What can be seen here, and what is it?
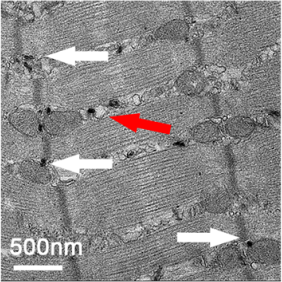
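A longitudinal electron micrograph of skeletal muscle fiber shows parallel myofibrils with fine longitudinal filaments and repeating sarcomeres crossed by dark transverse Z-lines. Between neighbouring myofibrils run narrow spaces holding small membrane-bound profiles of the sarcoplasmic reticulum. Oval mitochondria with internal cristae lie in these spaces close to the Z-lines, often in pairs on either side of them. Small, very dark electron-dense deposits sit on membrane profiles next to the Z-lines and beside the mitochondria, standing out against the grey myofibrils.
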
